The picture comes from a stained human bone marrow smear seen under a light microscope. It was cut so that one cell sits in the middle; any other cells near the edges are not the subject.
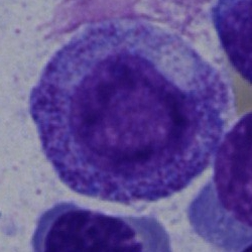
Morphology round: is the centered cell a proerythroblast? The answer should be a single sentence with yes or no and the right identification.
No, the cell in the centre is a promyelocyte instead of a proerythroblast.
